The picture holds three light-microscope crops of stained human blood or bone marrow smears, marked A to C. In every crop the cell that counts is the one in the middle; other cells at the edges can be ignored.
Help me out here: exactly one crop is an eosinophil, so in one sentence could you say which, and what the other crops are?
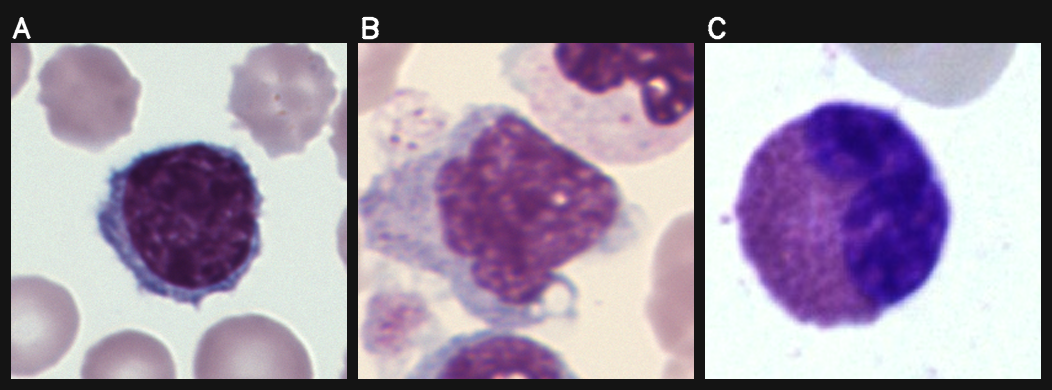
Crop C exhibits an eosinophil, while crop A is a lymphocyte and crop B is a monocyte.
